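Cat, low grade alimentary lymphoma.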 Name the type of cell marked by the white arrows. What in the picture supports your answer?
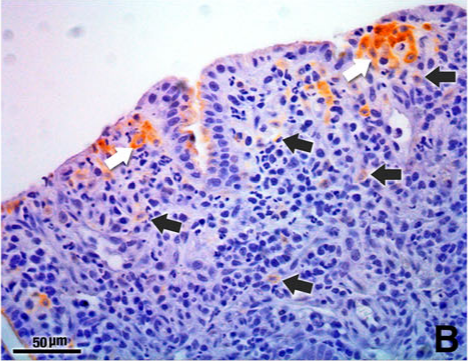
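Their cytoplasm is strongly stained orange-brown. So: enterocytes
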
